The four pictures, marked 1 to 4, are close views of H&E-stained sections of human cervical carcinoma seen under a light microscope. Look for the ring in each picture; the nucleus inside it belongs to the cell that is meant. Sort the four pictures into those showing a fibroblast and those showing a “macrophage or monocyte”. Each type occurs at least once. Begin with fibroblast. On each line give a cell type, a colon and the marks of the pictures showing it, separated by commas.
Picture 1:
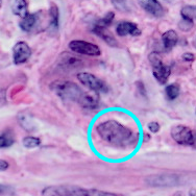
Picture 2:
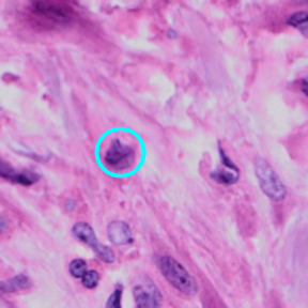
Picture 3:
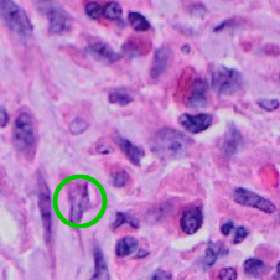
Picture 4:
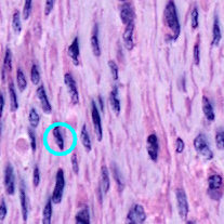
fibroblast: 3, 4
macrophage or monocyte: 1, 2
